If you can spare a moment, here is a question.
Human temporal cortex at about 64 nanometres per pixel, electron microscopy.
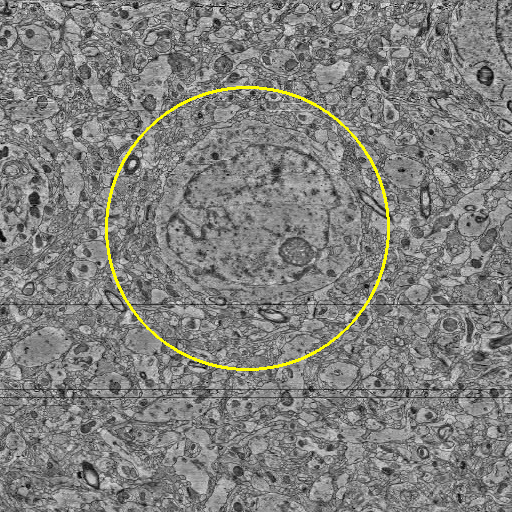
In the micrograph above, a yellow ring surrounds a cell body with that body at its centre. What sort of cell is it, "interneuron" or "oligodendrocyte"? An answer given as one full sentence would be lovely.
Centred inside the yellow ring, the cell body shown belongs to an interneuron in this micrograph.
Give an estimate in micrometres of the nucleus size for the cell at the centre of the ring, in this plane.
In this plane the nucleus spans approximately 11 by 9 micrometers.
